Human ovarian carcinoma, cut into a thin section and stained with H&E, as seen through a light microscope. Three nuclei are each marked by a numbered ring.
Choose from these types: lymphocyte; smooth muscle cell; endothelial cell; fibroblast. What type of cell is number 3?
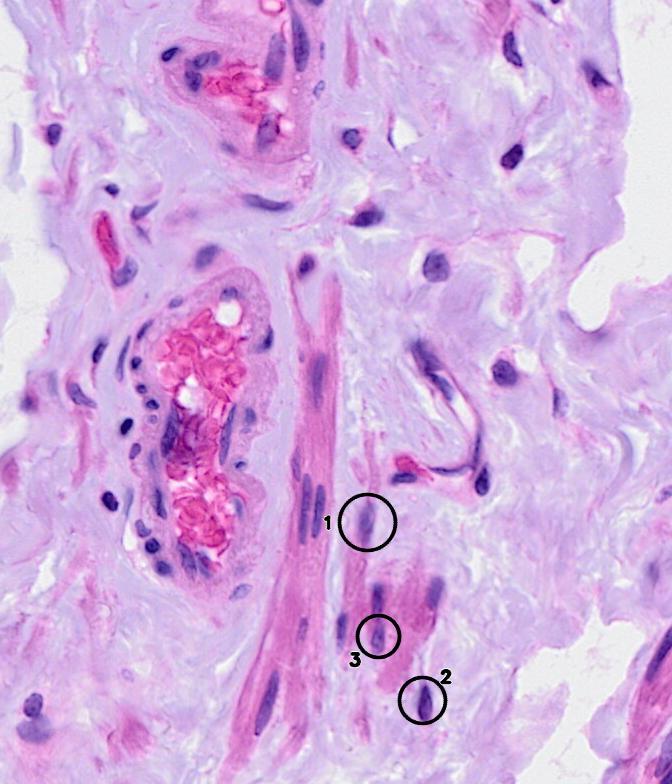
smooth muscle cell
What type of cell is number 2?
fibroblast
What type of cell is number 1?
smooth muscle cell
